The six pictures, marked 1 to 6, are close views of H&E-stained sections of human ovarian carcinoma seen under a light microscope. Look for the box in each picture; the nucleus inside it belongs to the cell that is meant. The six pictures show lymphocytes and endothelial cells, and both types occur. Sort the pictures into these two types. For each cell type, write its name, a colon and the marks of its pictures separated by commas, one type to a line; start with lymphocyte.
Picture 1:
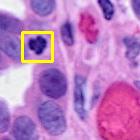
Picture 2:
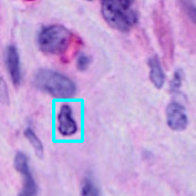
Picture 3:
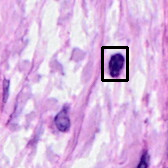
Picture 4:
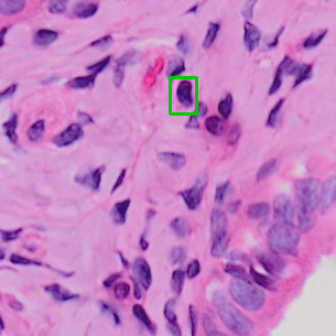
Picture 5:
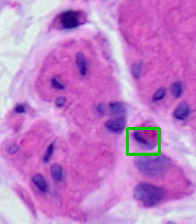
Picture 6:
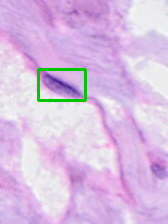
lymphocyte: 1, 2, 3, 4
endothelial cell: 5, 6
